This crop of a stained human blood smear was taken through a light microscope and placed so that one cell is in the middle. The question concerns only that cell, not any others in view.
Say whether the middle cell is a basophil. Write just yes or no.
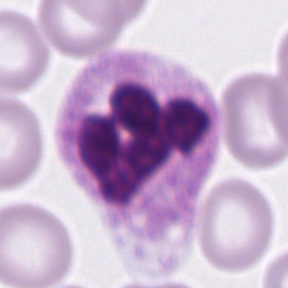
no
